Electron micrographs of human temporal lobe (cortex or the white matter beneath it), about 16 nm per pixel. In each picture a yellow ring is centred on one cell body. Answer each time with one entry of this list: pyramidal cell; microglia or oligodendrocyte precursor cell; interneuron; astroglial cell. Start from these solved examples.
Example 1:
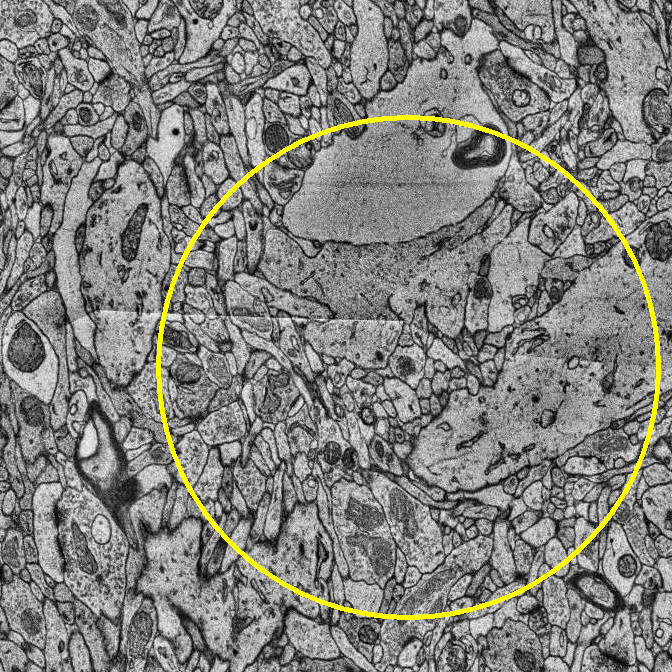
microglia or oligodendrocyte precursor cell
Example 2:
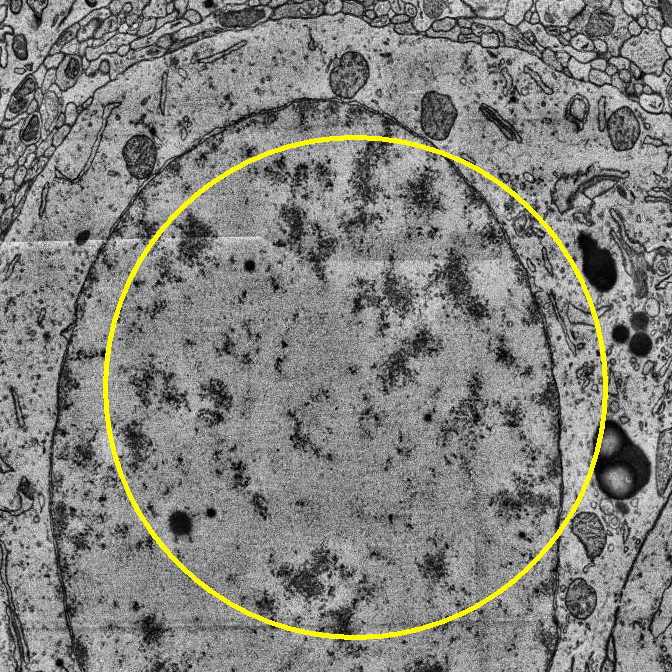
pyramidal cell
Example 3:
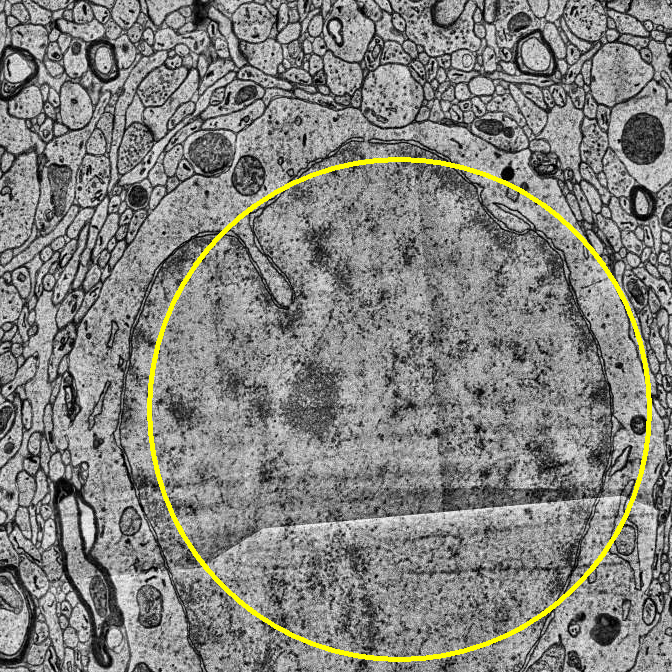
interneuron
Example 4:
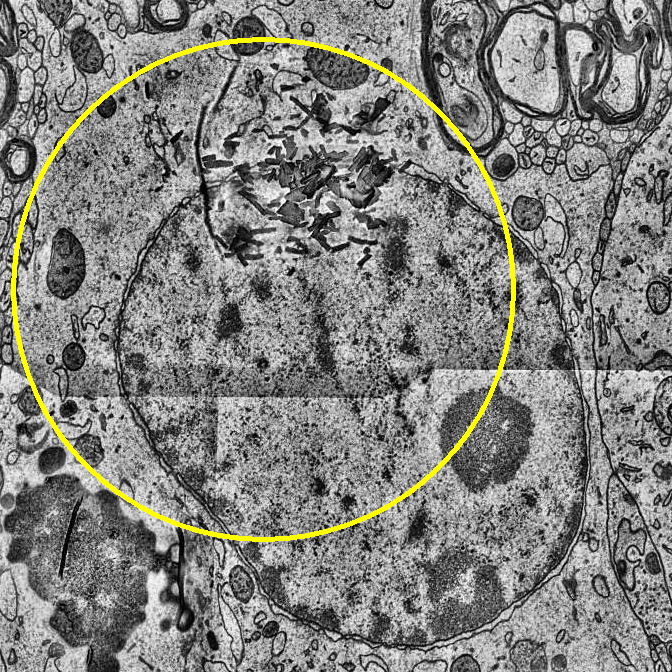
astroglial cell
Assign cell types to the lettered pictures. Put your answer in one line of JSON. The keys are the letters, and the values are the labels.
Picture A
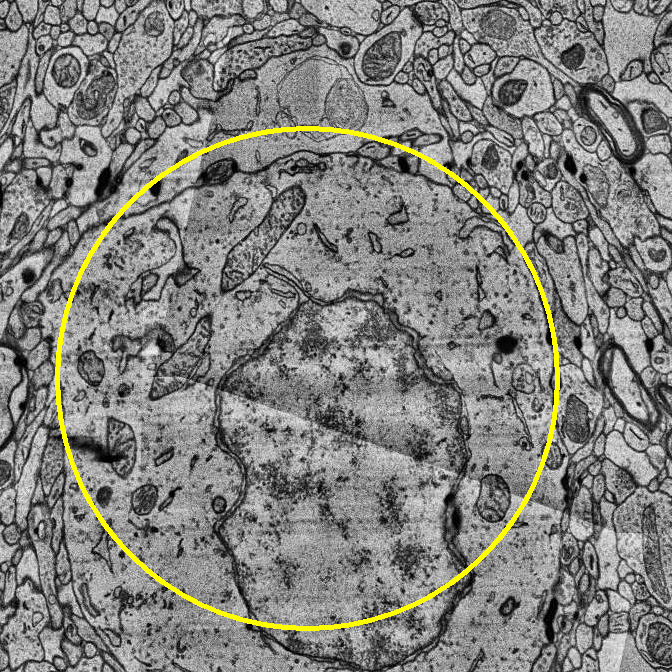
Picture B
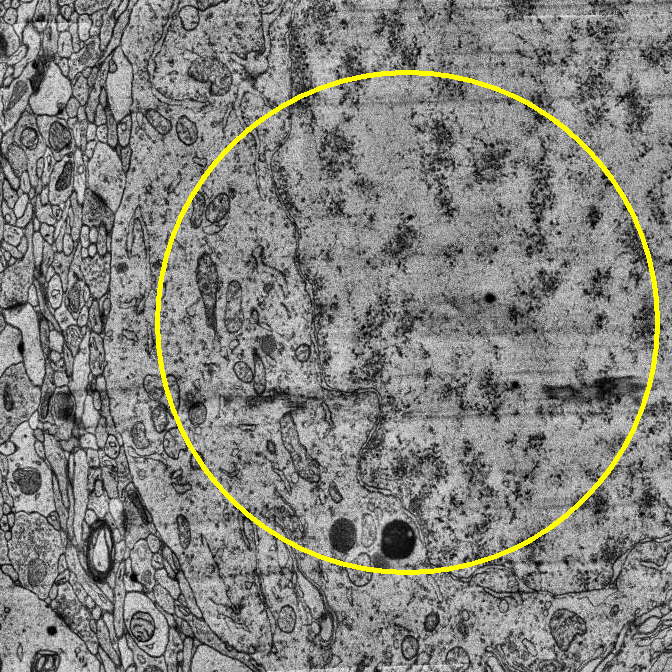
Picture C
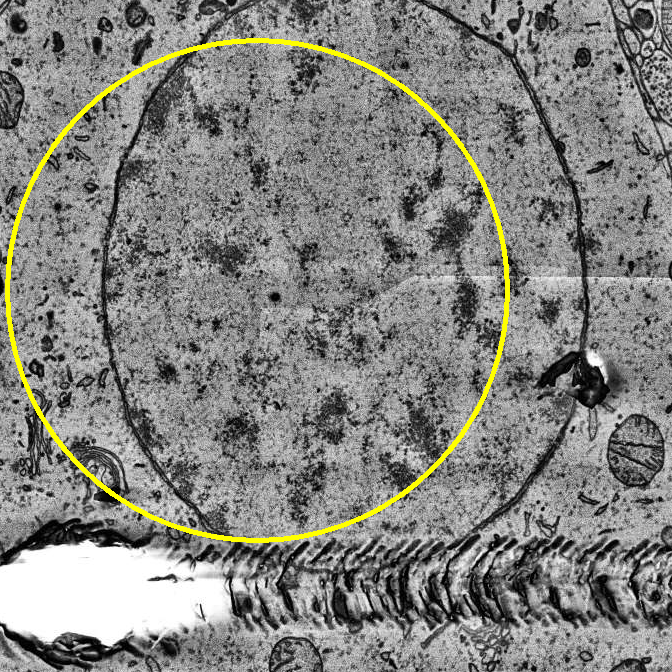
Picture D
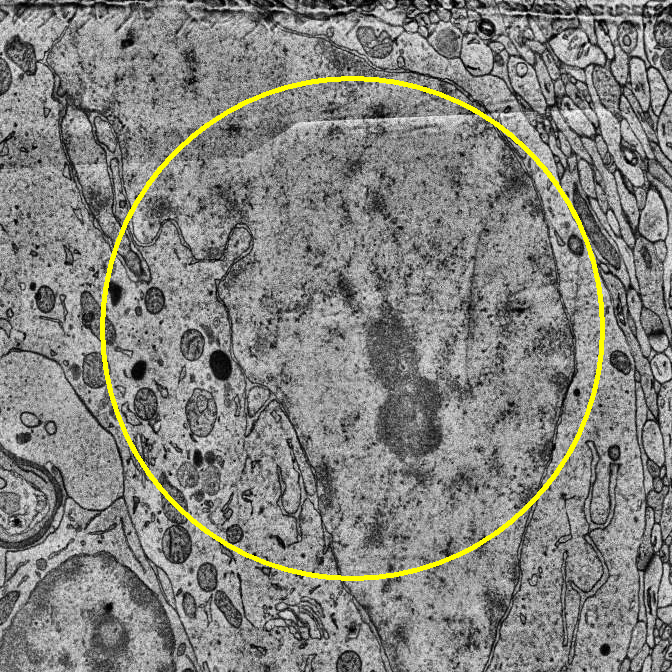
{"A": "pyramidal cell", "B": "interneuron", "C": "pyramidal cell", "D": "interneuron"}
